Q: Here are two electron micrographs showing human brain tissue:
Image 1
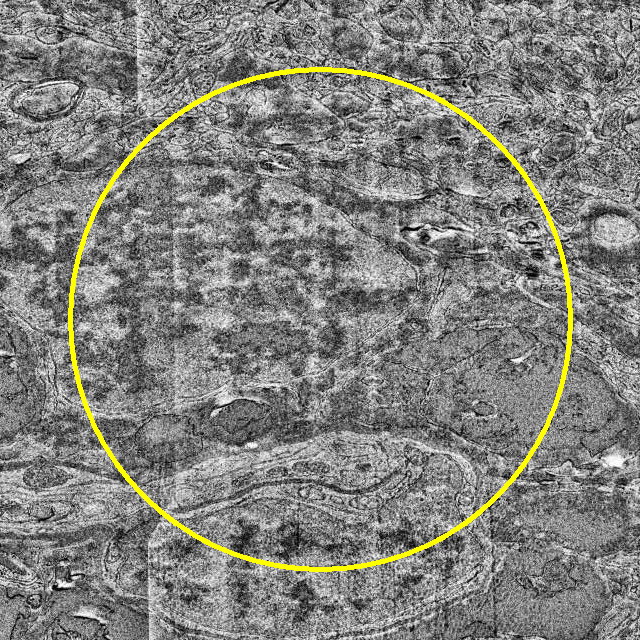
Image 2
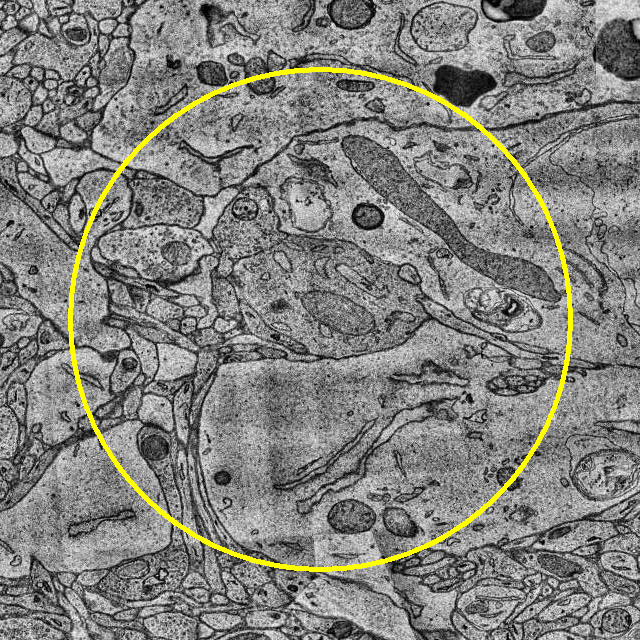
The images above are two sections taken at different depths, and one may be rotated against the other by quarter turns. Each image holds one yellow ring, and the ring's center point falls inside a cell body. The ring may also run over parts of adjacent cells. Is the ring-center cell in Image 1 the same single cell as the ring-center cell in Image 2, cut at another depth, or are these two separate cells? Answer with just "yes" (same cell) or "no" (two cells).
yes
